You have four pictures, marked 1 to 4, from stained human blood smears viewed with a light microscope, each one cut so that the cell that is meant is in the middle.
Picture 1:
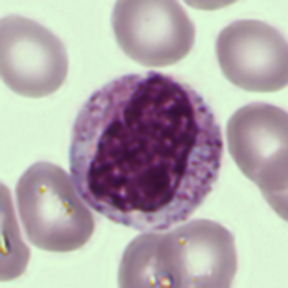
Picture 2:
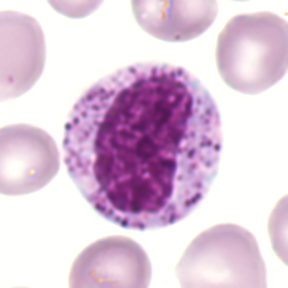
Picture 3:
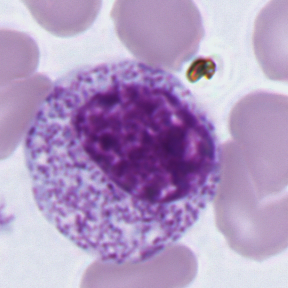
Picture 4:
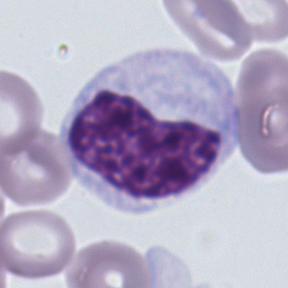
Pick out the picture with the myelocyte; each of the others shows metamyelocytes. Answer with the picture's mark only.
3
